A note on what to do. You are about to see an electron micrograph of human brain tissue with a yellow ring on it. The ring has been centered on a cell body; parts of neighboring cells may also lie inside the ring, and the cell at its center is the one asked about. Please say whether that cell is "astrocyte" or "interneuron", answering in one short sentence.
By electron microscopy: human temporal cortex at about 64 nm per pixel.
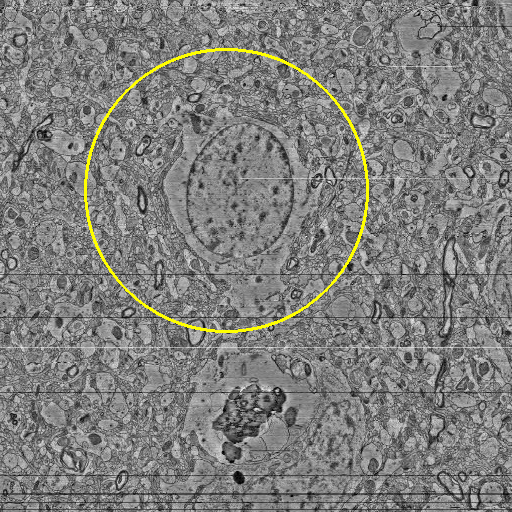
The yellow ring sits on an astrocyte.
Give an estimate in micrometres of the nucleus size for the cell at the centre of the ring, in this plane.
In this plane the nucleus measures roughly 10 by 7 micrometers.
